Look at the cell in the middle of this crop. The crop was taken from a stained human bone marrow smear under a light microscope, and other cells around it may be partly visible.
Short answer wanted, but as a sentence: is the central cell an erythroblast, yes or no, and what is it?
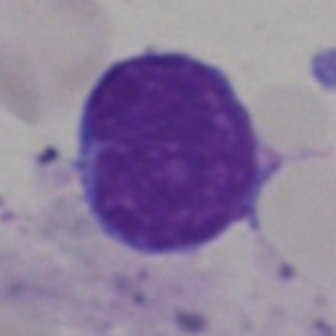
No, the middle of the crop holds a lymphocyte, not an erythroblast.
